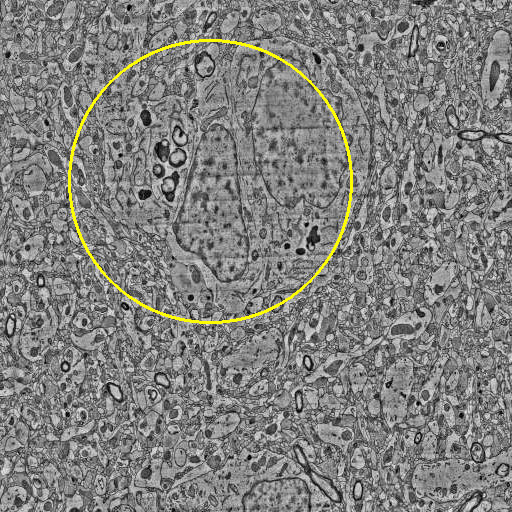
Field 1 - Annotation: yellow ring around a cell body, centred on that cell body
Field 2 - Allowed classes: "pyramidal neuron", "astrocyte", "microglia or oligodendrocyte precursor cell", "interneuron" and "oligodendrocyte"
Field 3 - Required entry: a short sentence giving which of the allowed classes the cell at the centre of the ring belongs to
The centred cell is a microglial cell or oligodendrocyte precursor cell.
